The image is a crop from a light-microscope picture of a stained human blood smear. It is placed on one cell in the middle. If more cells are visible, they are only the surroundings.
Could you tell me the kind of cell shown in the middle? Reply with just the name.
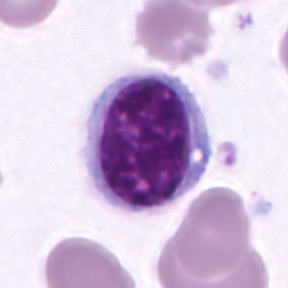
plasma cell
